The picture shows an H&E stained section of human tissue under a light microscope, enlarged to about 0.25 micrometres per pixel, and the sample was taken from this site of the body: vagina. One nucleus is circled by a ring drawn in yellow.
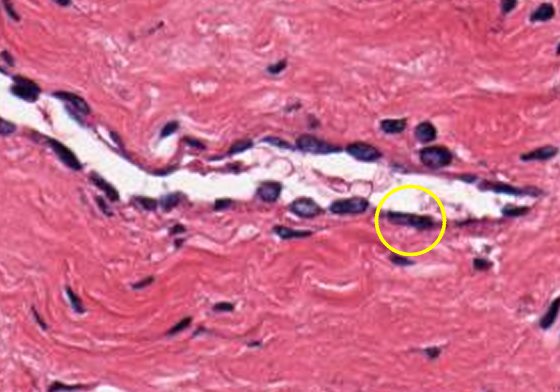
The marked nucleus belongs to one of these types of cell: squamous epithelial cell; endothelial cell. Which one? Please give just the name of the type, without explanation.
endothelial cell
